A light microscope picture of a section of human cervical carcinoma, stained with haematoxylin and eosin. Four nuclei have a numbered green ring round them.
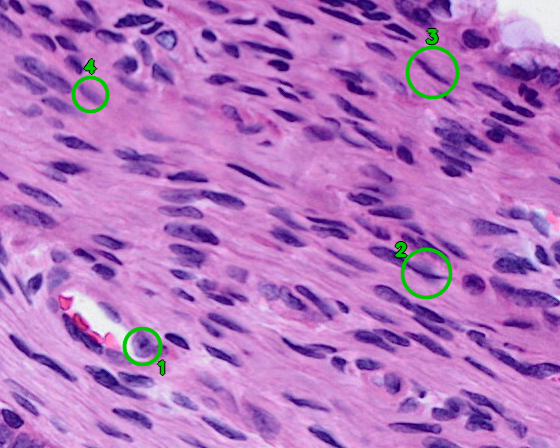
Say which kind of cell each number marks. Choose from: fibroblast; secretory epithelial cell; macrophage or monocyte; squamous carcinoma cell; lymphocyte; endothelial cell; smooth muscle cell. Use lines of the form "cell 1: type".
cell 1: endothelial cell
cell 2: fibroblast
cell 3: fibroblast
cell 4: fibroblast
